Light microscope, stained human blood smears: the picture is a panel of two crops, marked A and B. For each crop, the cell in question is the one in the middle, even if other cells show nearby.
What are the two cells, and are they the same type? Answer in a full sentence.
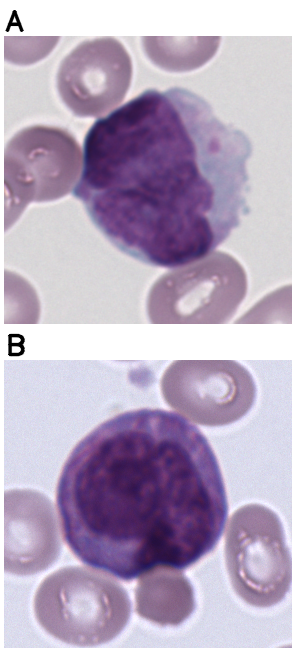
Yes, both crops show atypical promyelocytes, and the two match.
